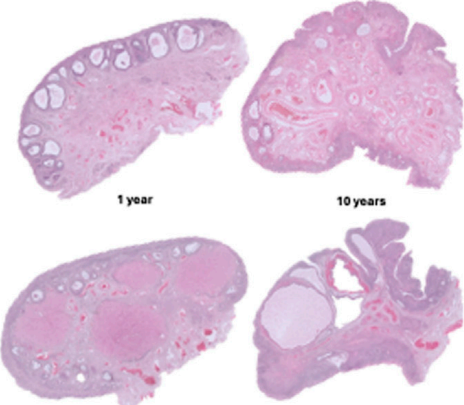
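At low power these are whole ovarian sections, pink-purple with haematoxylin and eosin, studded with round, clear, fluid-filled follicles of many sizes. In the left-hand sections the follicles crowd beneath the outer surface, and one holds several large, homogeneous pink rounded masses, whereas the right-hand sections show fewer follicles, one bearing a large cyst-like cavity and an irregular outline.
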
